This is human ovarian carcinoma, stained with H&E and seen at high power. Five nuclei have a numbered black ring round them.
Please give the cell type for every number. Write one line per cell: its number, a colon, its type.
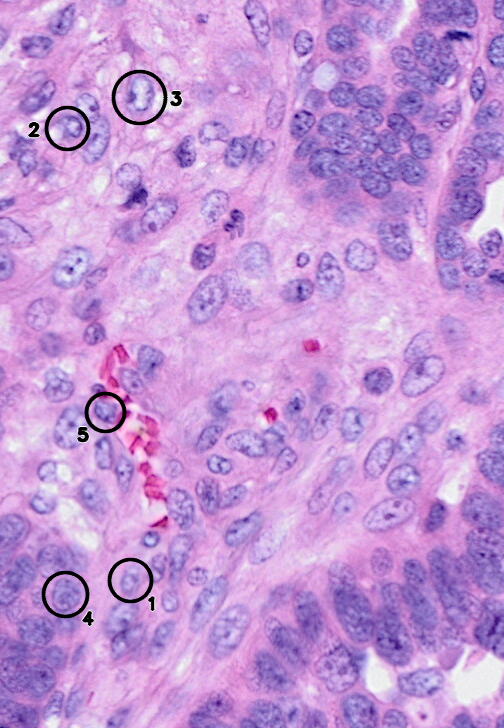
1: fibroblast
2: fibroblast
3: fibroblast
4: carcinoma cell
5: endothelial cell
